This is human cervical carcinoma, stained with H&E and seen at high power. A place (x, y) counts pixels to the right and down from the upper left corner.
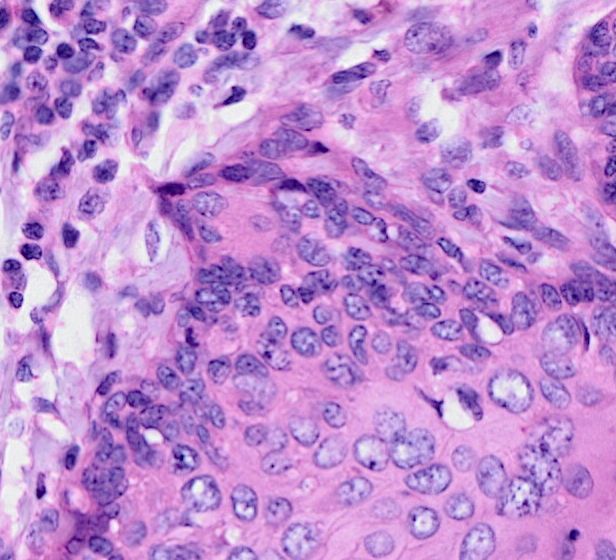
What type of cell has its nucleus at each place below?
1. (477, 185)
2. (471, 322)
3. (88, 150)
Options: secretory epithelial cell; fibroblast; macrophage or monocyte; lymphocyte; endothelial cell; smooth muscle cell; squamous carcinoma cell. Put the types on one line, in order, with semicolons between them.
lymphocyte; squamous carcinoma cell; lymphocyte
